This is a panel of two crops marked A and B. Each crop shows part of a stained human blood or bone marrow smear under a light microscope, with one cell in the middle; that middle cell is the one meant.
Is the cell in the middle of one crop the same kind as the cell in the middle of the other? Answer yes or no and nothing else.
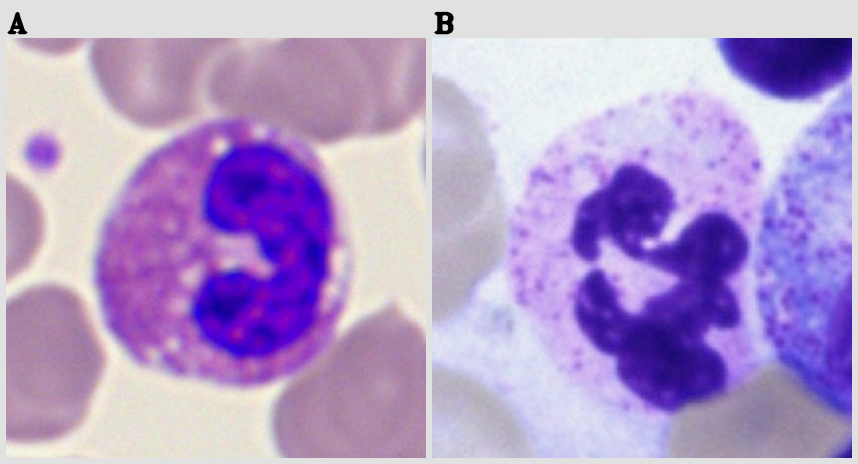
no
